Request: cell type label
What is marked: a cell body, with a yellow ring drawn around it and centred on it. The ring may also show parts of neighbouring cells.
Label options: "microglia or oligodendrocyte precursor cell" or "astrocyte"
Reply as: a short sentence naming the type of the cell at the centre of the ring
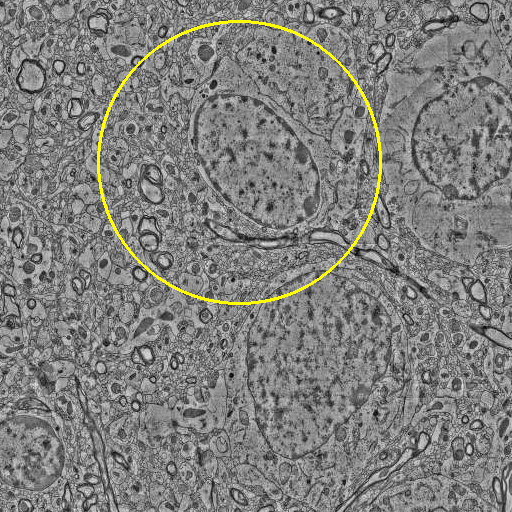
The marked cell body is that of a microglial cell or oligodendrocyte precursor cell.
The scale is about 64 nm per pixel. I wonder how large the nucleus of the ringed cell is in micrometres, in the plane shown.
Roughly 10 micrometres long and 6 micrometres wide; in this plane the nucleus is clearly longer than it is wide.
